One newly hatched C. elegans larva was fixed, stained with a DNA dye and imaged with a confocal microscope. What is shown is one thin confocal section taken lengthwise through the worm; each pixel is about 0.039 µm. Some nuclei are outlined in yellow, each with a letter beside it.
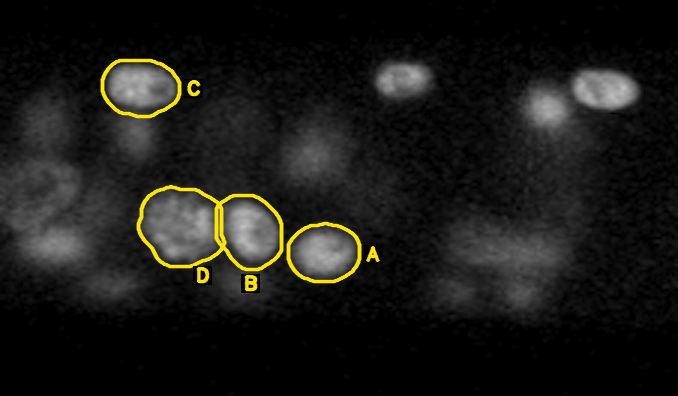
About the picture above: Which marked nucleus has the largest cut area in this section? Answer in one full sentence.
Of the marked nuclei, D is the biggest in this section.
